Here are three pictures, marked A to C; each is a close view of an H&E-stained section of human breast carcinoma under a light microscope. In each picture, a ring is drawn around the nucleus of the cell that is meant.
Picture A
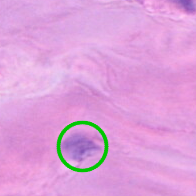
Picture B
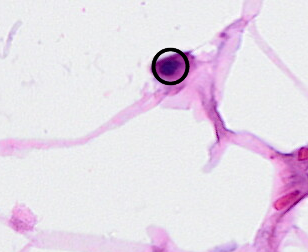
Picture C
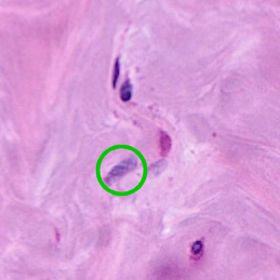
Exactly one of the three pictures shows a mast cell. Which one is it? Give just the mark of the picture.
B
